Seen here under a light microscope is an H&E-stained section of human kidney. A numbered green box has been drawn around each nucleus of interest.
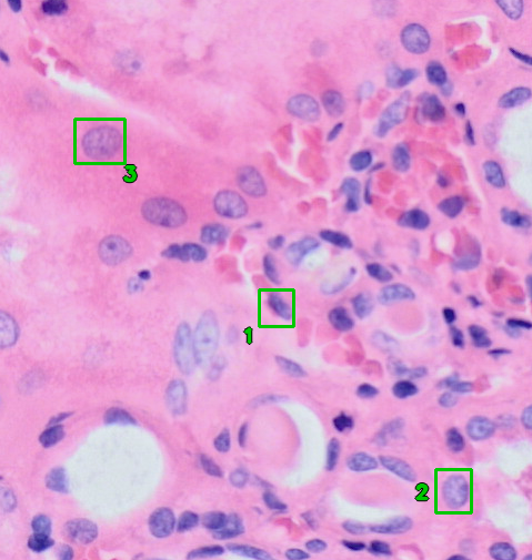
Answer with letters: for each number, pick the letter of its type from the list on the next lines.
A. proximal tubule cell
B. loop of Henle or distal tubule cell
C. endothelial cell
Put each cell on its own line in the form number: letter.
1: C
2: B
3: A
